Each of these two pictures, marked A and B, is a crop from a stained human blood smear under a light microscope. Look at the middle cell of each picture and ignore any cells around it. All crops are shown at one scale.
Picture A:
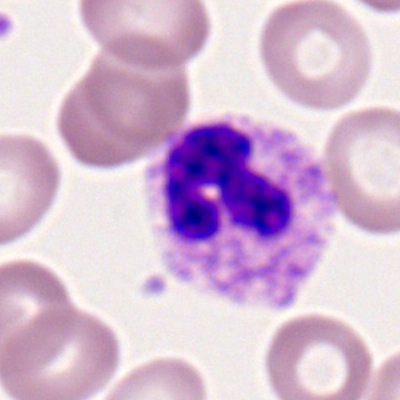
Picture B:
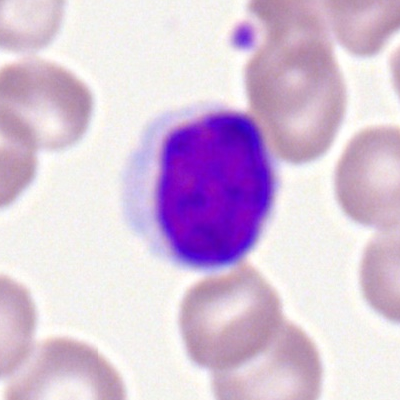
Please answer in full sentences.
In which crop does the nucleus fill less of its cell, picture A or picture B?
Of the two, the nucleus in picture A leaves more room for cytoplasm.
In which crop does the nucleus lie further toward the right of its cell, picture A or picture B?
The nucleus in picture B lies further toward the right of its cell.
